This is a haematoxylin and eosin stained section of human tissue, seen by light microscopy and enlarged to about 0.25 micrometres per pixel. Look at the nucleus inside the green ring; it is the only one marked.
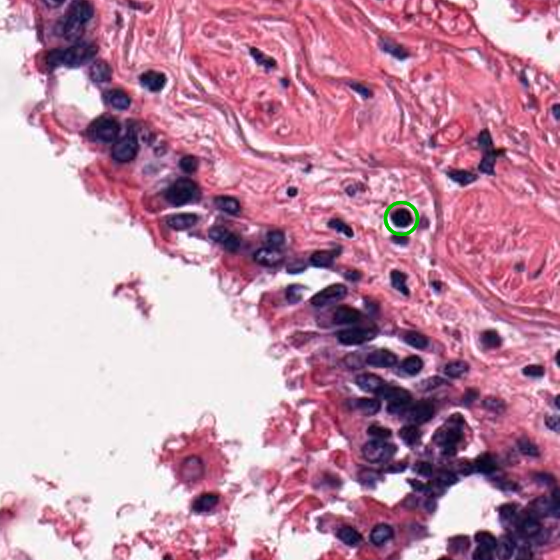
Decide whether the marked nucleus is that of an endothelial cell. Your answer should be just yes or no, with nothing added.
no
